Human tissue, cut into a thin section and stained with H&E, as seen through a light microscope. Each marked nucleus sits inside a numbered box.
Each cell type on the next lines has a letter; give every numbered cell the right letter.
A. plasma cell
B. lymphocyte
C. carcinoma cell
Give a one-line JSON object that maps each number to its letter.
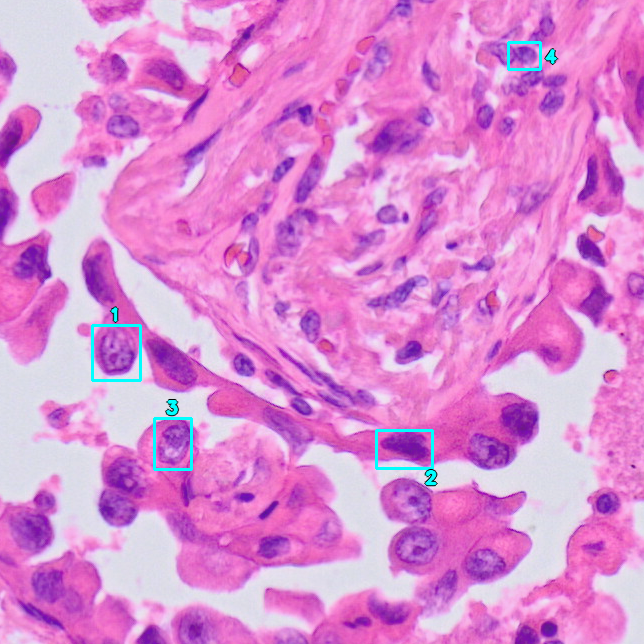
{"1": "C", "2": "C", "3": "C", "4": "B"}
